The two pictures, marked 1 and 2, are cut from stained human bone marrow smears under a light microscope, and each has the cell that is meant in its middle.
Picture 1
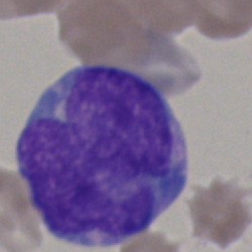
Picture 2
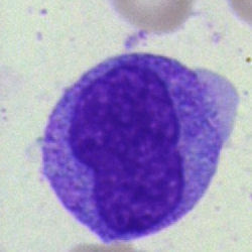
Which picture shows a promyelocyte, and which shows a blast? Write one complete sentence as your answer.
Picture 2 shows a promyelocyte, while picture 1 shows a blast.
